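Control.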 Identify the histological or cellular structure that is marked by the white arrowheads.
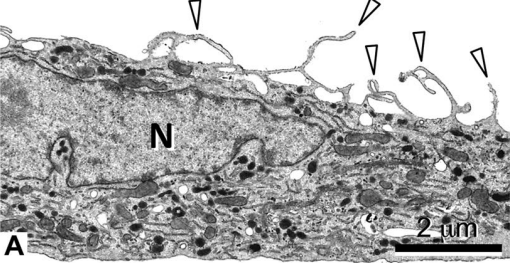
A: apical cell extensions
